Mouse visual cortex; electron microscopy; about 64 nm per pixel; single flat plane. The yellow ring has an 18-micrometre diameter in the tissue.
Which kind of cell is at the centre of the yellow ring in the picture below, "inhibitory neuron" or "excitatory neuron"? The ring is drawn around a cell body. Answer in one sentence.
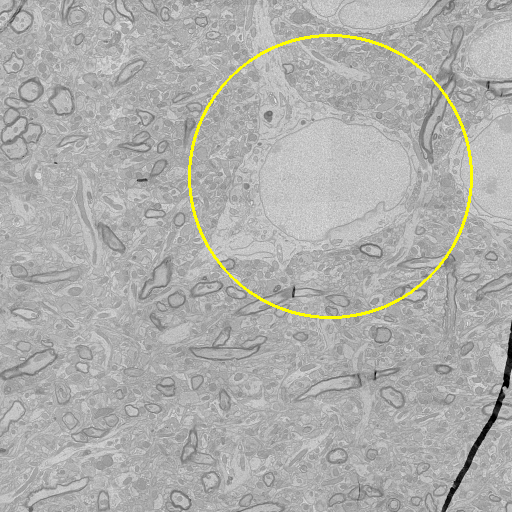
The ring's central cell is an excitatory neuron.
